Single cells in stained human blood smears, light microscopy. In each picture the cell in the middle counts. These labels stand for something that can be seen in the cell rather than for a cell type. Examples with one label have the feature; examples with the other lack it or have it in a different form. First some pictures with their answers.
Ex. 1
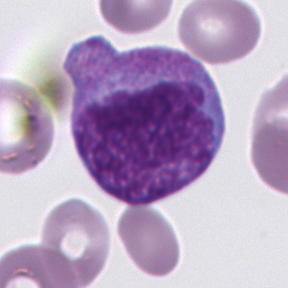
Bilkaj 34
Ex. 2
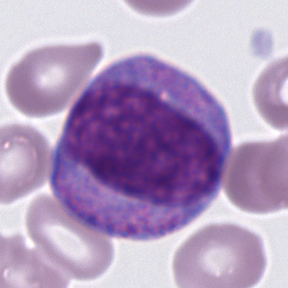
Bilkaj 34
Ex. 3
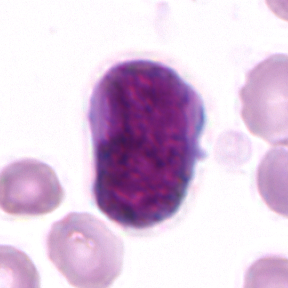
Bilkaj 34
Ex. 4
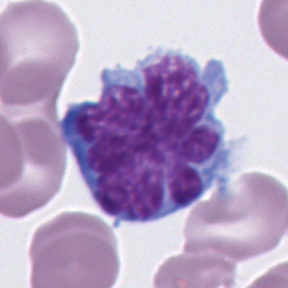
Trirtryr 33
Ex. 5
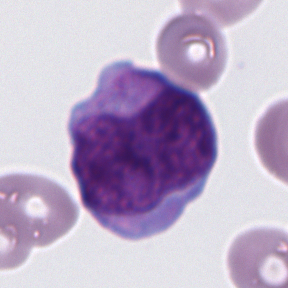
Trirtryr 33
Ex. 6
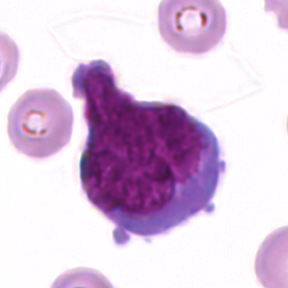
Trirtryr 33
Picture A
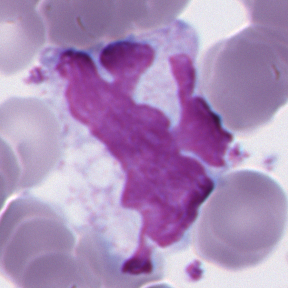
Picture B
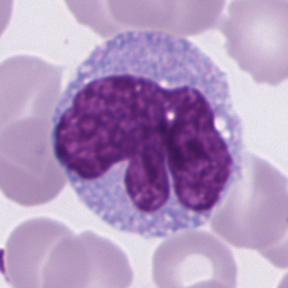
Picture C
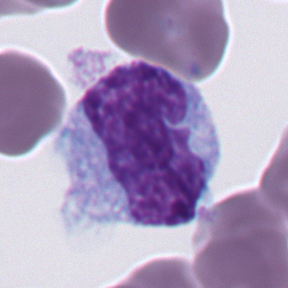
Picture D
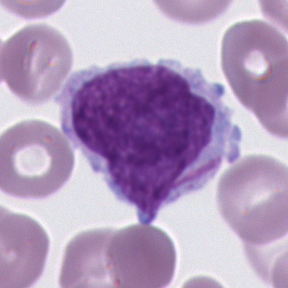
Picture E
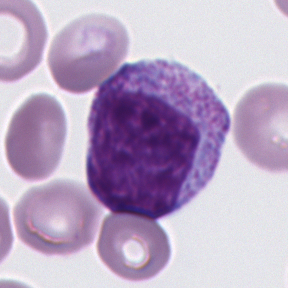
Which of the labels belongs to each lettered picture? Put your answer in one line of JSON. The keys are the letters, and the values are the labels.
{"A": "Bilkaj 34", "B": "Bilkaj 34", "C": "Bilkaj 34", "D": "Trirtryr 33", "E": "Bilkaj 34"}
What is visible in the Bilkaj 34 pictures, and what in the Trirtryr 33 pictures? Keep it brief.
Bilkaj 34: many visible granules; Trirtryr 33: no visible granules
